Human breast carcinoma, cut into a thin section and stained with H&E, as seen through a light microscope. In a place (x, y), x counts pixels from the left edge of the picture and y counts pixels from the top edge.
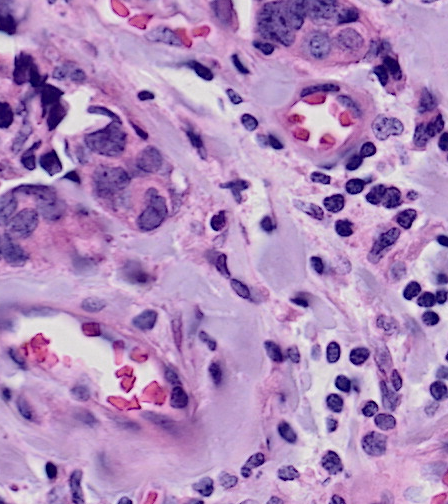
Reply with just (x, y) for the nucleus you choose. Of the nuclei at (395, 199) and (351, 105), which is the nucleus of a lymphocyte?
(395, 199)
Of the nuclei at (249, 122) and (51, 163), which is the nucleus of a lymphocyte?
(249, 122)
